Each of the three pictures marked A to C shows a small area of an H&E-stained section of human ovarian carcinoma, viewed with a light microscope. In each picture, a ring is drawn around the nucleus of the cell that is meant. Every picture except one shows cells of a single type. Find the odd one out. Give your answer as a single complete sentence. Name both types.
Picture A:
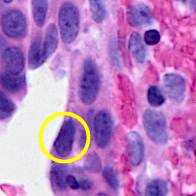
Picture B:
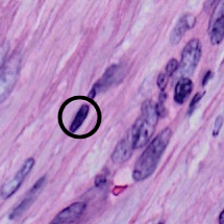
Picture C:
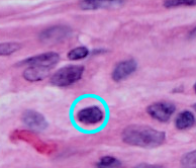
Unlike the rest, which show lymphocytes, picture A shows a carcinoma cell.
